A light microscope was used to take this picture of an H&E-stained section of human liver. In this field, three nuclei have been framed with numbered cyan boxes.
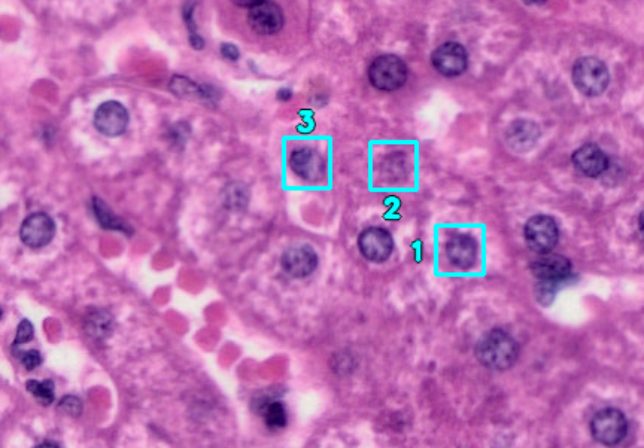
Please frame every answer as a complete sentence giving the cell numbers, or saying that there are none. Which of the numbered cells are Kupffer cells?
Whereas cell 3 is a Kupffer cell, the other numbered cells are not.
